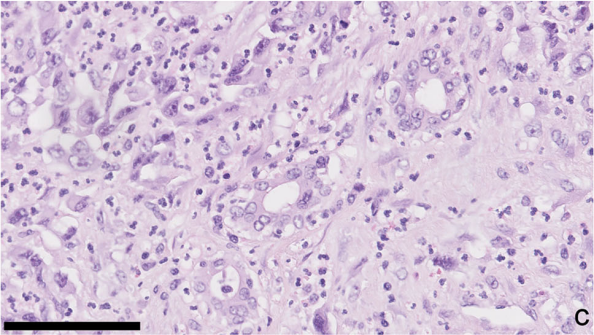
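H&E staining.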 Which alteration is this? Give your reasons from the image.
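Large tumor cells surround small round empty lumens. Tumor nuclei are large and vesicular with prominent nucleoli. Many small inflammatory cells lie between the tumor cells. On this evidence: Gland formation with atypical nuclei.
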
